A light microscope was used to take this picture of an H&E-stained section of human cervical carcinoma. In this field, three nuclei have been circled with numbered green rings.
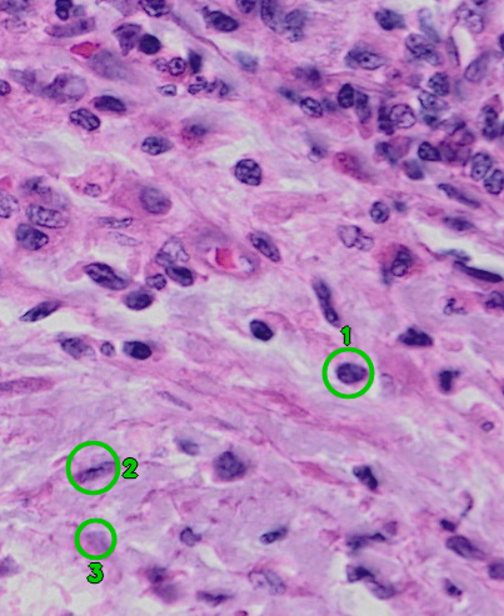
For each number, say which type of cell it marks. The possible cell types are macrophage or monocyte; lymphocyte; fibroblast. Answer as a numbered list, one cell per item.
1. lymphocyte
2. fibroblast
3. fibroblast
